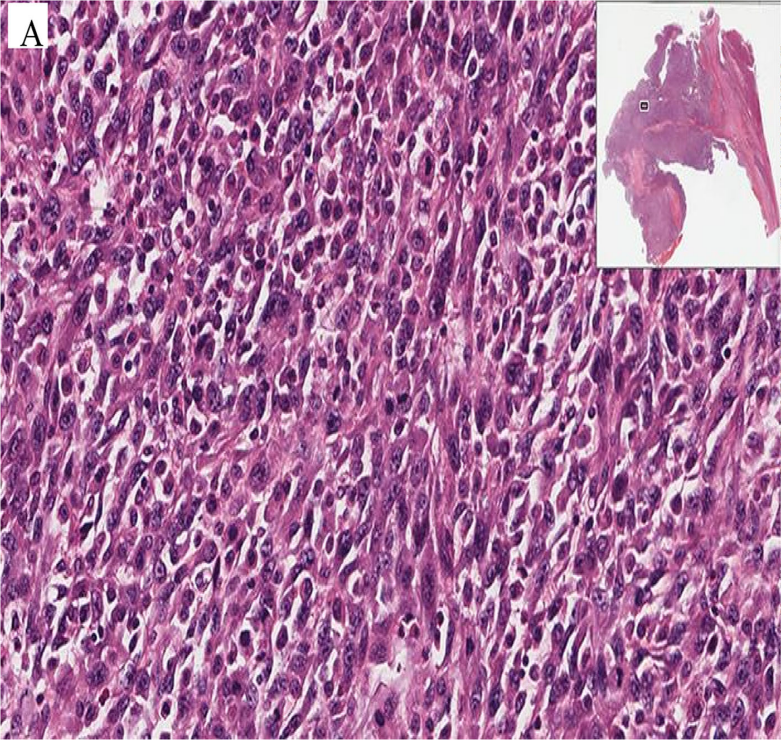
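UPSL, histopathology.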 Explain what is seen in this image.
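This is a densely cellular malignant tumour made of spindle and epithelioid cells packed into sheets. Many cells are elongated and stream in loose fascicles running diagonally, while others are plump and polygonal with a fair amount of pink cytoplasm. The nuclei are large, dark purple and vary clearly in size and shape; many are oval with coarse chromatin and visible nucleoli, and some are crowded and overlapping. There is little intervening stroma between the cells. A small low-power inset shows the whole section, a large purple tumour mass beside a strip of paler pink tissue.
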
